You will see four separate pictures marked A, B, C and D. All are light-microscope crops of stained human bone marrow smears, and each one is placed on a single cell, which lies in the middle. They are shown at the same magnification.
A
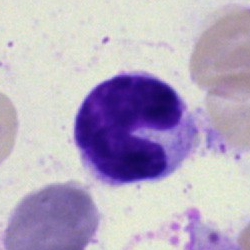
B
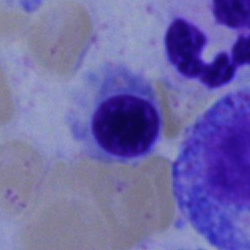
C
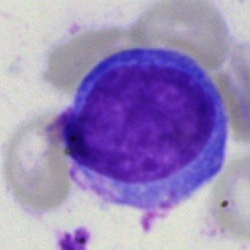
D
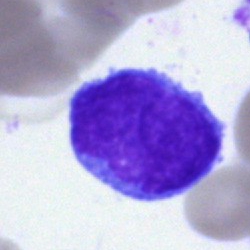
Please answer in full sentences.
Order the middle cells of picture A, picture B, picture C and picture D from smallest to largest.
Smallest first: B, A, D, C.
